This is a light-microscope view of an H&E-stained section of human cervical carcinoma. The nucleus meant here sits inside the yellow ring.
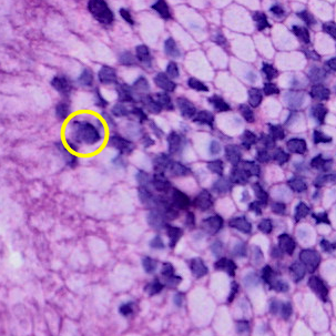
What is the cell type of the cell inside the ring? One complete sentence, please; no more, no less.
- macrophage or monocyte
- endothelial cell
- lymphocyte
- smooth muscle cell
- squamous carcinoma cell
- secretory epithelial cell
So far as cell type goes, the cell inside the ring is a secretory epithelial cell.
